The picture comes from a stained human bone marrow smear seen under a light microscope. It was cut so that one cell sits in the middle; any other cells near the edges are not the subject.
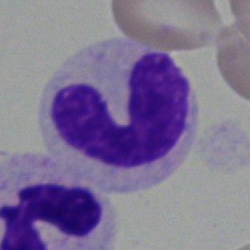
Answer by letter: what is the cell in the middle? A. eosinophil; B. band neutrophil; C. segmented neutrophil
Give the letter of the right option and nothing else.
B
